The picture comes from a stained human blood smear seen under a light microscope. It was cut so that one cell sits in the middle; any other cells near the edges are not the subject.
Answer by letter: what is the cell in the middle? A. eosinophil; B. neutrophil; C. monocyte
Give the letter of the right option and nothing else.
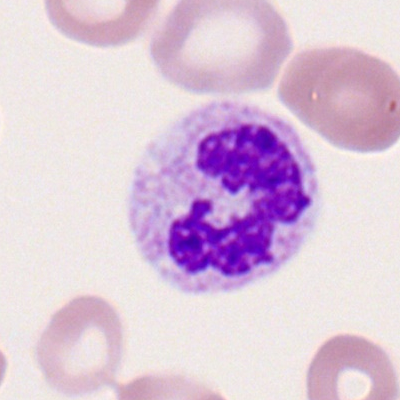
B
